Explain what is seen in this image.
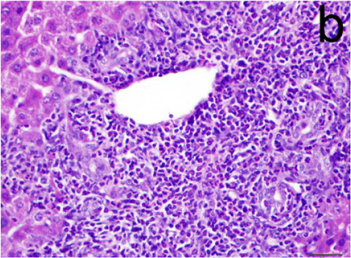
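This is liver around a portal area, heavily infiltrated by inflammatory cells. Dense sheets of small cells with round, darkly purple nuclei and scant cytoplasm crowd around an open vessel. The infiltrate obscures much of the normal cord arrangement of the liver. Larger hepatocytes with pink cytoplasm and round nuclei remain at the upper left edge of the field. A few faint duct-like profiles can be made out among the inflammatory cells.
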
